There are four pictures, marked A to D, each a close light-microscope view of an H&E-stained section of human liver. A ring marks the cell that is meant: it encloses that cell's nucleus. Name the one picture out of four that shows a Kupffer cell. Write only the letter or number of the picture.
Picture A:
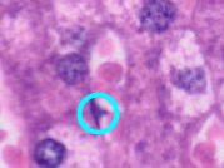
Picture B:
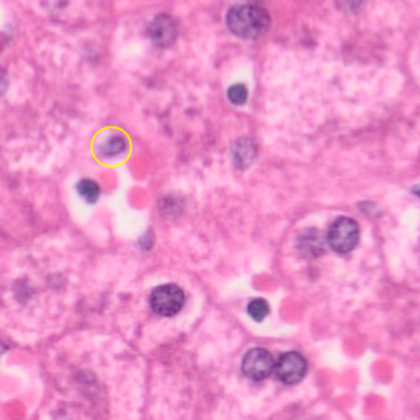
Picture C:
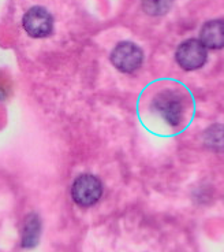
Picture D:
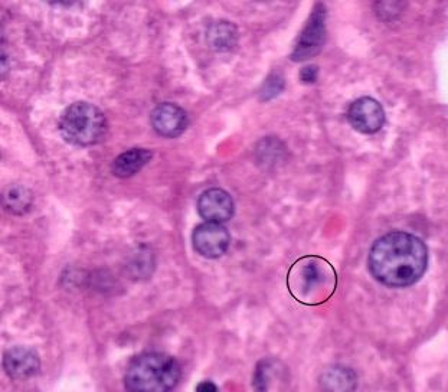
B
